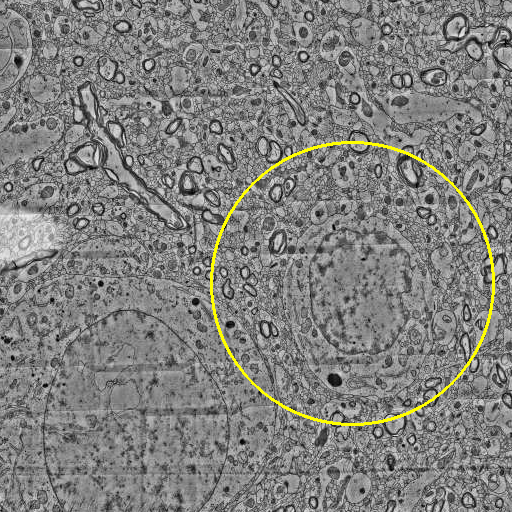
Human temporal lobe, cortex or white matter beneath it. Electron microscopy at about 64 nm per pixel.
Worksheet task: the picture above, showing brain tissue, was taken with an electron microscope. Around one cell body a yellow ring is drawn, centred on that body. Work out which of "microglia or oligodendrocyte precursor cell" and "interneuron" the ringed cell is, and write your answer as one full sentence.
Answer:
It is an interneuron whose cell body lies at the centre of the yellow ring.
